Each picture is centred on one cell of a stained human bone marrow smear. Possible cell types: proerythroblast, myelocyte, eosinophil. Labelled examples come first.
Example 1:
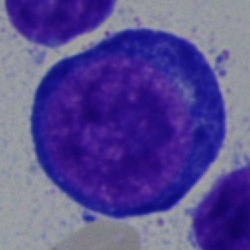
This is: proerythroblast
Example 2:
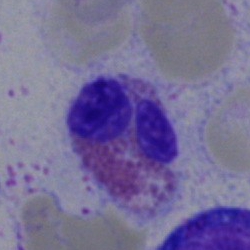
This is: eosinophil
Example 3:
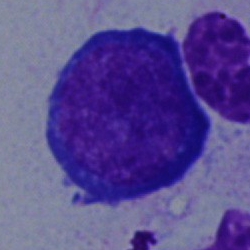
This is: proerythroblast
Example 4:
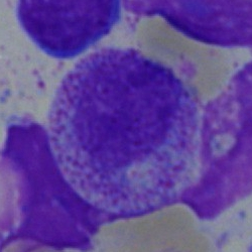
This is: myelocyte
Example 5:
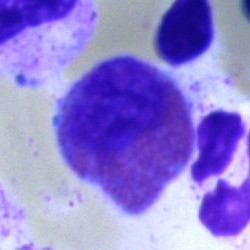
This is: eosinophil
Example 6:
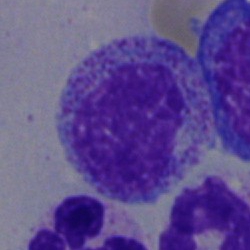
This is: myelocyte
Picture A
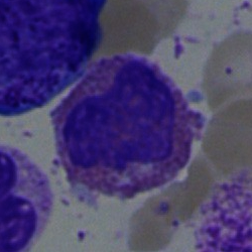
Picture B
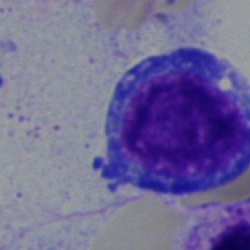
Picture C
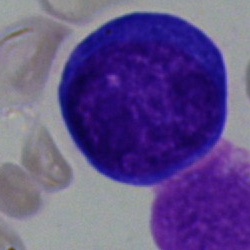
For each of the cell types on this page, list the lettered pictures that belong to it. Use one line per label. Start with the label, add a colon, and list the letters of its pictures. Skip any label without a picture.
proerythroblast: B, C
eosinophil: A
